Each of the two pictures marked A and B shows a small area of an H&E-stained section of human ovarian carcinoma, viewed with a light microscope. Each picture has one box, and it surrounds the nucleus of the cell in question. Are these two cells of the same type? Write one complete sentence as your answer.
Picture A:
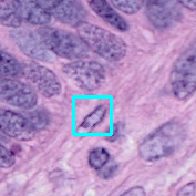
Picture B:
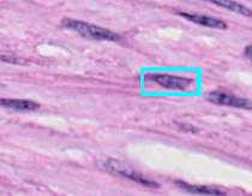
Yes, they are the same type: both are fibroblasts.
